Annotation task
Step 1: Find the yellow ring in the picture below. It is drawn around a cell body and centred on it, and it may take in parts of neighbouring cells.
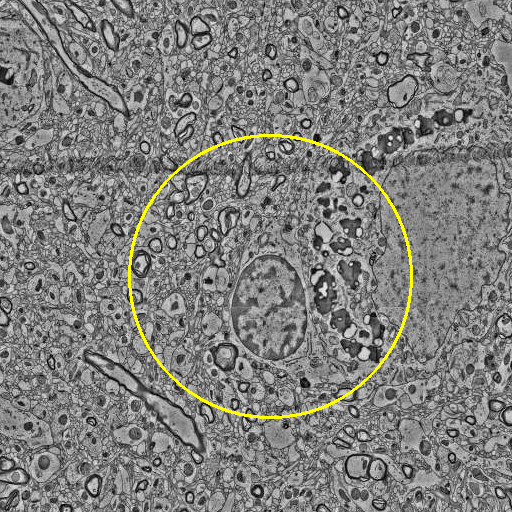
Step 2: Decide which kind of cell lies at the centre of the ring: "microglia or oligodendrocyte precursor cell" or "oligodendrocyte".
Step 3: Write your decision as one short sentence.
The kind of cell at the ring's centre is a microglial cell or oligodendrocyte precursor cell.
